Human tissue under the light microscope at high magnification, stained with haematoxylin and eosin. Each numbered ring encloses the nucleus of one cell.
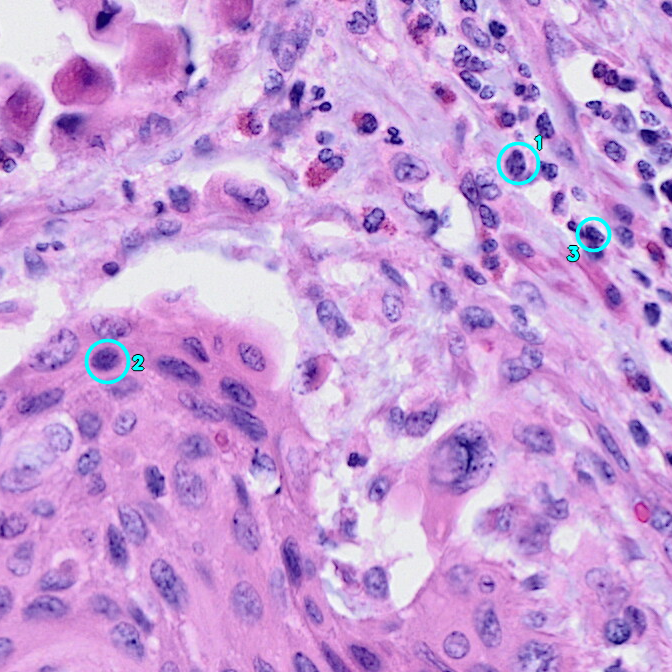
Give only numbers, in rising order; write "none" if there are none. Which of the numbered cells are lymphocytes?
1, 3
